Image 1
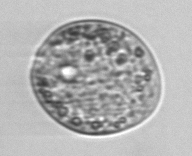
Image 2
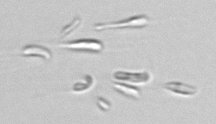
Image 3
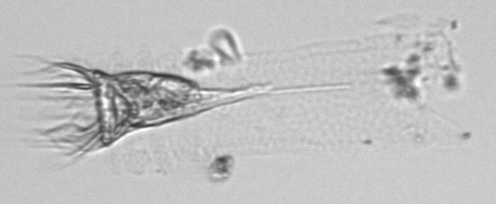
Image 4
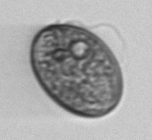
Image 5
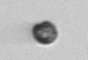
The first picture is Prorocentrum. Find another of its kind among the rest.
Picture 4.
